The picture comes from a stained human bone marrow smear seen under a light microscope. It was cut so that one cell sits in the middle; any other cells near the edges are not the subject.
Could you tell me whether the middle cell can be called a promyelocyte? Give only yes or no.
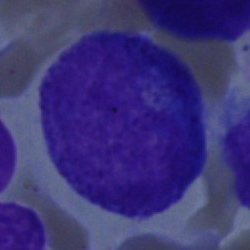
yes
